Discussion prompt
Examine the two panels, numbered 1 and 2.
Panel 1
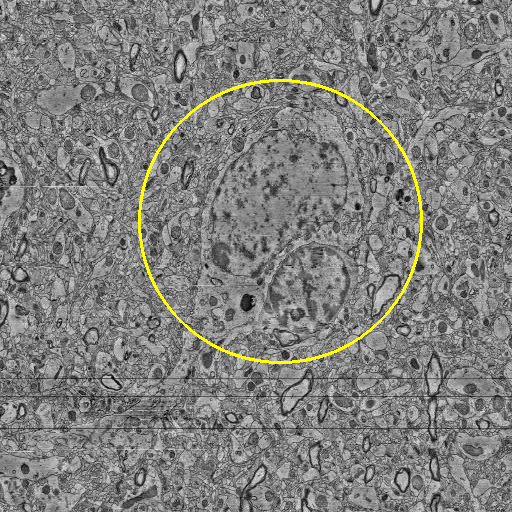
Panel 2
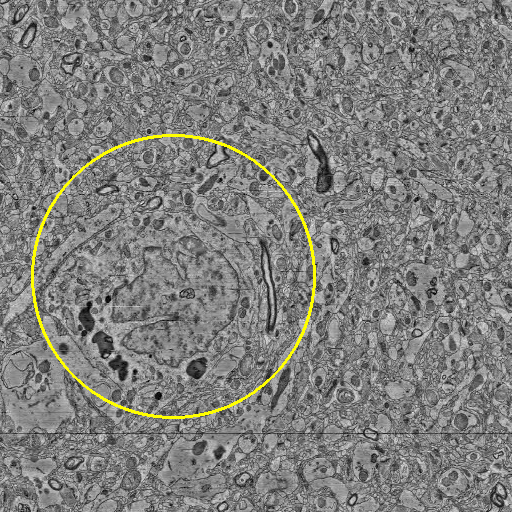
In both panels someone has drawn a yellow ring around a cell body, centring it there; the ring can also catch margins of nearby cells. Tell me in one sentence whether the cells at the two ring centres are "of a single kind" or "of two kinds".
Taken together, the two cells centred in the rings of Panels 1 and 2 are of a single kind.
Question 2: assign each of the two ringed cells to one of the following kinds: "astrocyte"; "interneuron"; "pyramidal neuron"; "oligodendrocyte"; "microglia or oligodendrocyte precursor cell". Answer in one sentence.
Each of the two rings is centred on an interneuron.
